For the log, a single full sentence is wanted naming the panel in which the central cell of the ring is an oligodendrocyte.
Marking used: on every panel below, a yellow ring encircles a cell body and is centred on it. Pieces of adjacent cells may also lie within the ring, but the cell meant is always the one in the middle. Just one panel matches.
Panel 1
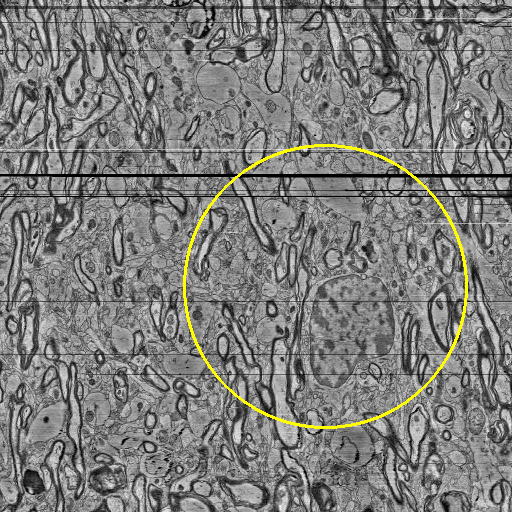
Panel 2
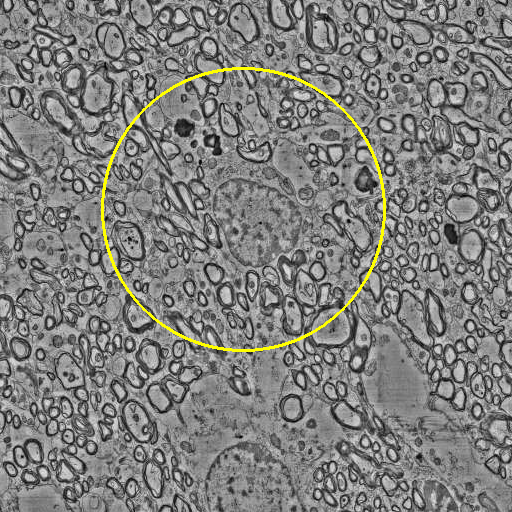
The cell in the middle of the ring in panel 2 is the one asked for.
